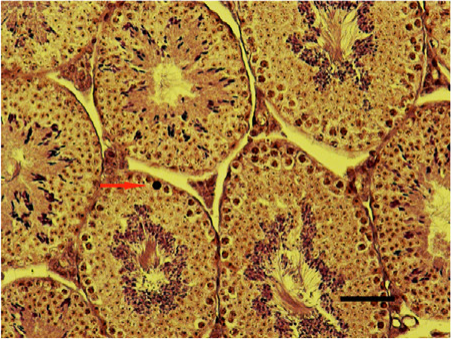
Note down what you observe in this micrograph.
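Cross-sections of seminiferous tubules of testis, packed with layered germ cells around a central lumen. Round nuclei of germ cells fill the wall of each tubule, from its outer margin toward the lumen. Near the lumen, dark elongated heads of late spermatids are clustered, with pale tails filling the centre. Narrow pale interstitial spaces separate the tubules. A single round cell with a dark brown nucleus lies near the outer margin of one tubule.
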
